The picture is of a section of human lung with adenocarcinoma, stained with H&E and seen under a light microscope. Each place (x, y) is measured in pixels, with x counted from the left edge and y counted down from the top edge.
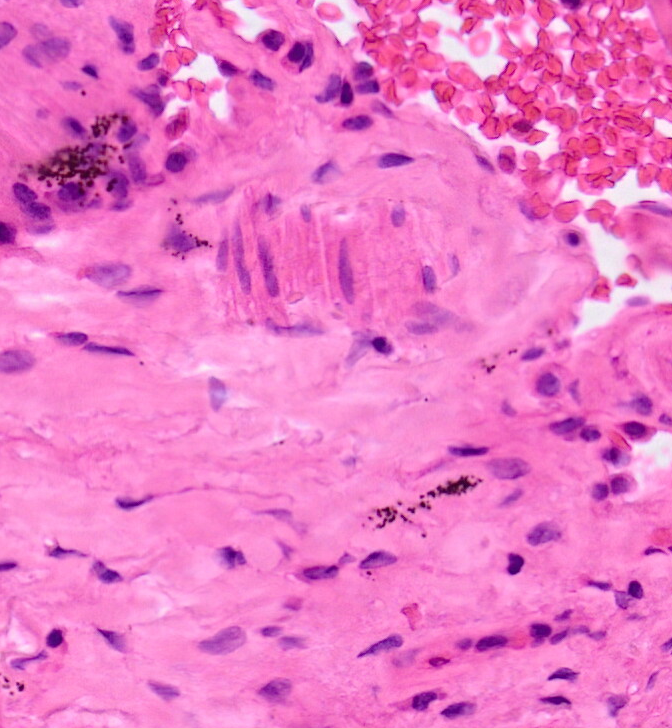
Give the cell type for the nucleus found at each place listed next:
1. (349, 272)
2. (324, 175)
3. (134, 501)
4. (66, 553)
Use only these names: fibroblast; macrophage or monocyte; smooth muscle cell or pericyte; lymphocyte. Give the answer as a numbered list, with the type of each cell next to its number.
1. smooth muscle cell or pericyte
2. fibroblast
3. fibroblast
4. fibroblast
